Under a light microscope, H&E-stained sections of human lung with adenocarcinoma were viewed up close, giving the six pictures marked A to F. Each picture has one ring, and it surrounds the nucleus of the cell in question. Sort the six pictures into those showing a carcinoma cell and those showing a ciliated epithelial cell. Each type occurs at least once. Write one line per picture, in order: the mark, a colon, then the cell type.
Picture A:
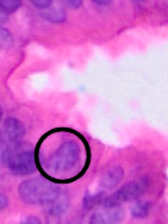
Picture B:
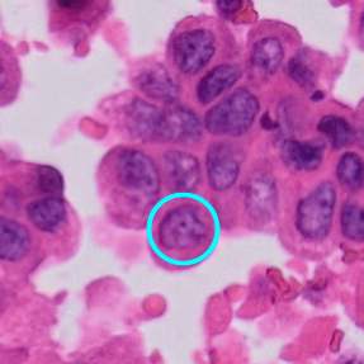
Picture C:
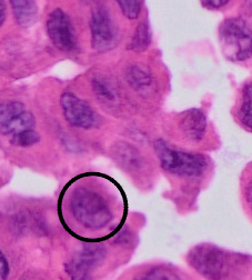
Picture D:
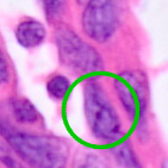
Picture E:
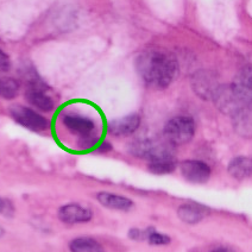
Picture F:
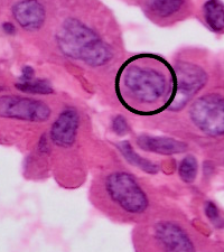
A: ciliated epithelial cell
B: carcinoma cell
C: carcinoma cell
D: carcinoma cell
E: ciliated epithelial cell
F: carcinoma cell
